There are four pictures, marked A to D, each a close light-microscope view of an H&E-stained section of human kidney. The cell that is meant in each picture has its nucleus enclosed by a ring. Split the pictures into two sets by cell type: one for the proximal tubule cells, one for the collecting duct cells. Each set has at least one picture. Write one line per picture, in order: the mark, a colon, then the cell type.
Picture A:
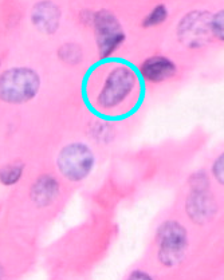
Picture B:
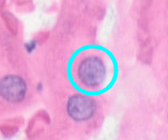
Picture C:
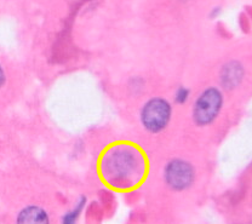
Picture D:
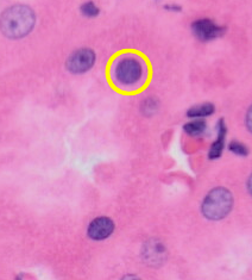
A: collecting duct cell
B: proximal tubule cell
C: proximal tubule cell
D: proximal tubule cell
